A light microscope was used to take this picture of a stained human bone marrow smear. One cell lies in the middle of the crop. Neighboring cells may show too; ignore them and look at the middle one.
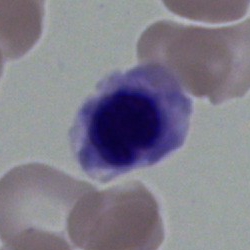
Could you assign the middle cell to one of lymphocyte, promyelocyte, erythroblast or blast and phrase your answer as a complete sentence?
The target cell in the middle of the crop is an erythroblast.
